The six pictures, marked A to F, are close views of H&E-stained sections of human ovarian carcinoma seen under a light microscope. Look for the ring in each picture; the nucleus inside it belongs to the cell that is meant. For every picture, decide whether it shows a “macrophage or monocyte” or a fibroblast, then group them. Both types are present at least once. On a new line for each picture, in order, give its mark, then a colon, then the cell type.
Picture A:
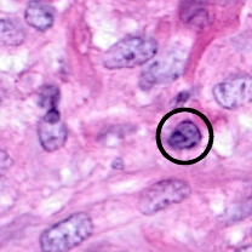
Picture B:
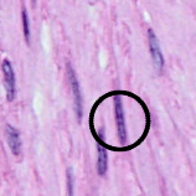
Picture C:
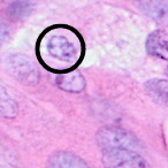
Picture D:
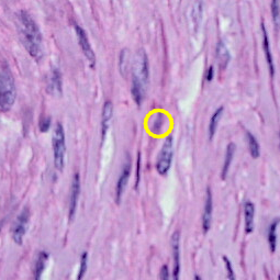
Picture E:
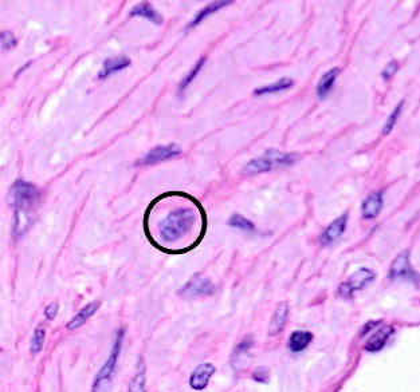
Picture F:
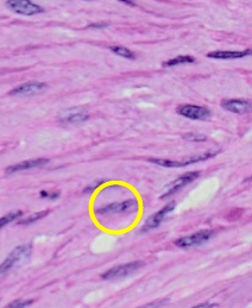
A: macrophage or monocyte
B: fibroblast
C: macrophage or monocyte
D: fibroblast
E: macrophage or monocyte
F: fibroblast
